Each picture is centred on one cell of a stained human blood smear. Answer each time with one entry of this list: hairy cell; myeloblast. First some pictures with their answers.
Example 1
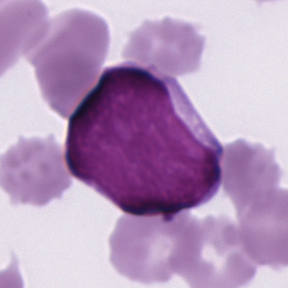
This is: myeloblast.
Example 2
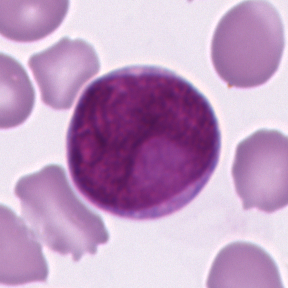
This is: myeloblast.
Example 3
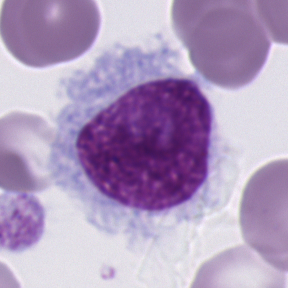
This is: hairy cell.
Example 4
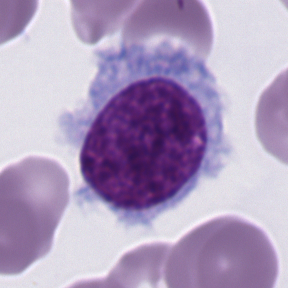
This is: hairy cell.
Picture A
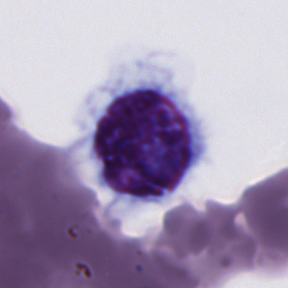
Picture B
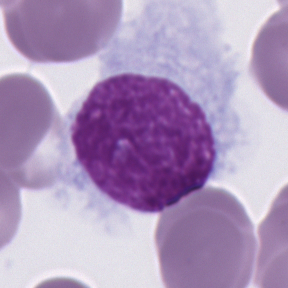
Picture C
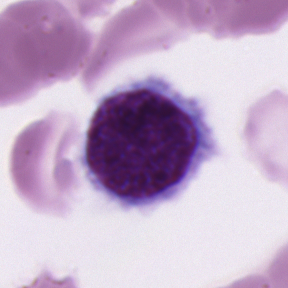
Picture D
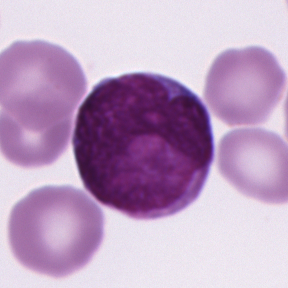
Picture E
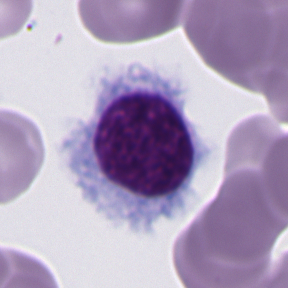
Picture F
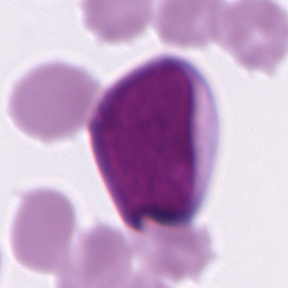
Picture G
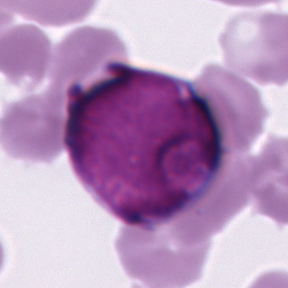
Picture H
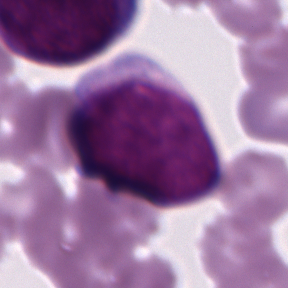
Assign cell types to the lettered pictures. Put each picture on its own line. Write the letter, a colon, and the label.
A: hairy cell.
B: hairy cell.
C: hairy cell.
D: myeloblast.
E: hairy cell.
F: myeloblast.
G: myeloblast.
H: myeloblast.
